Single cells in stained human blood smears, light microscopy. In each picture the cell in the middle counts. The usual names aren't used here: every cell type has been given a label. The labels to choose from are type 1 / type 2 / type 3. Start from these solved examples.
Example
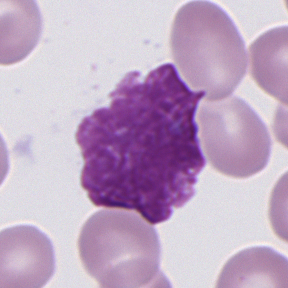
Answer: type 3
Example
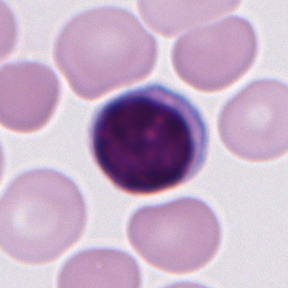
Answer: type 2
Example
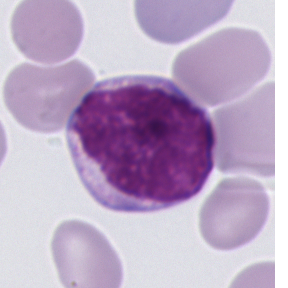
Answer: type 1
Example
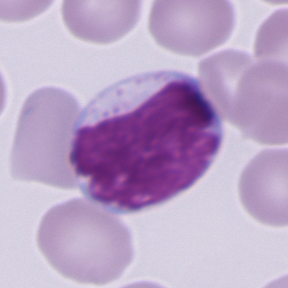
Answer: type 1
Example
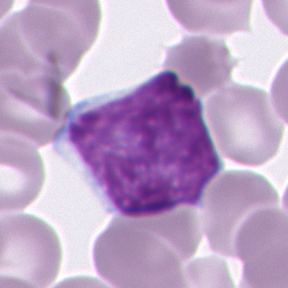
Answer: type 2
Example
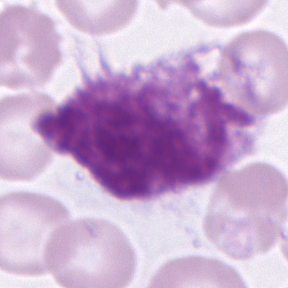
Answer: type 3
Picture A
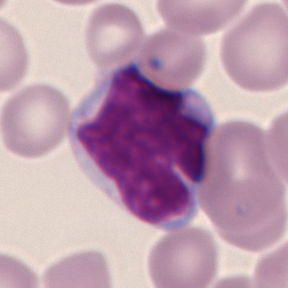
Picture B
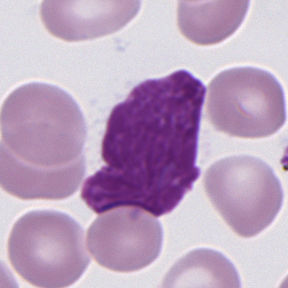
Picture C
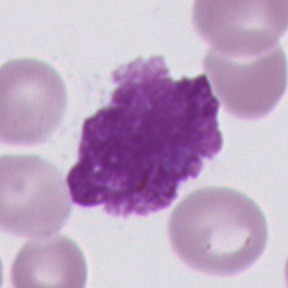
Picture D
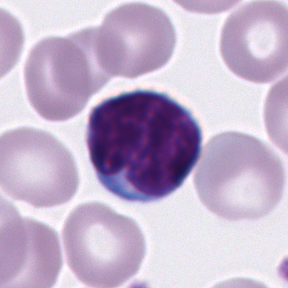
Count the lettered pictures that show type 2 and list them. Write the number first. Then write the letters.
1, namely D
